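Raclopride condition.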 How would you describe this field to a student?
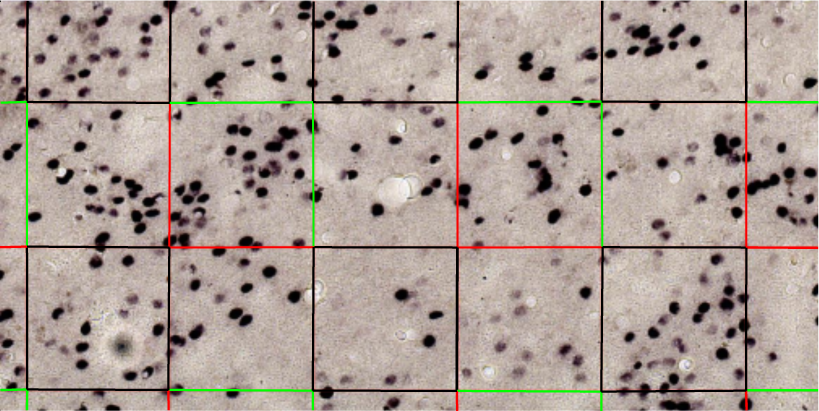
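The labelled nuclei are small, round to slightly oval and fairly uniform in size, lying singly or in loose clusters and scattered throughout the field rather than in layers. Between them are a few unstained, pale ring-like profiles of unlabelled cells or small vessels.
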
